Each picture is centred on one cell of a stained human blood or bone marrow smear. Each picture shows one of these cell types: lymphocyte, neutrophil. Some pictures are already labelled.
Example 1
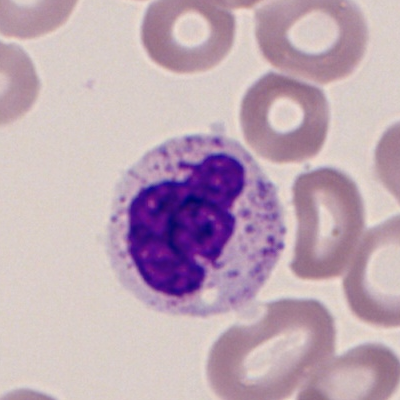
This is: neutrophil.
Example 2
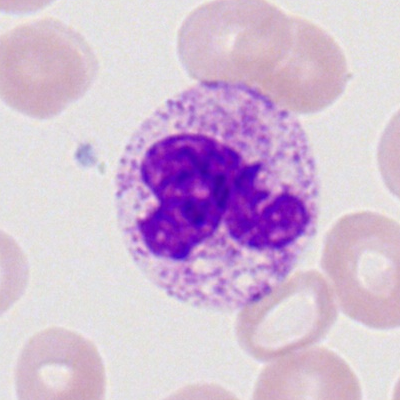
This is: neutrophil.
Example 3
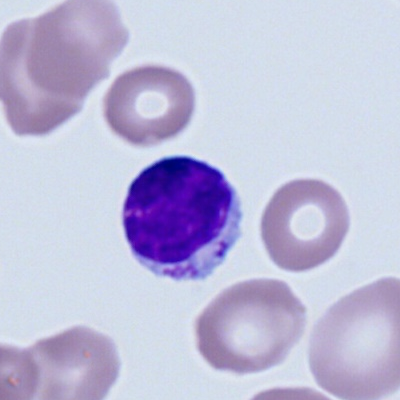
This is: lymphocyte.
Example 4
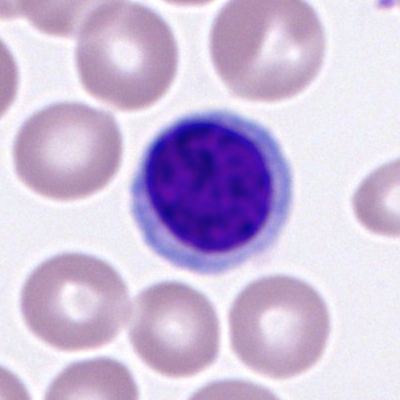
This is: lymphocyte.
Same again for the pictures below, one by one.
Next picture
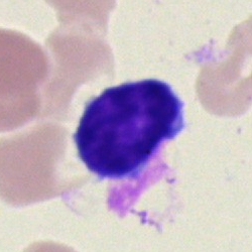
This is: lymphocyte.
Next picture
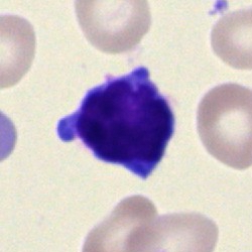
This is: lymphocyte.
